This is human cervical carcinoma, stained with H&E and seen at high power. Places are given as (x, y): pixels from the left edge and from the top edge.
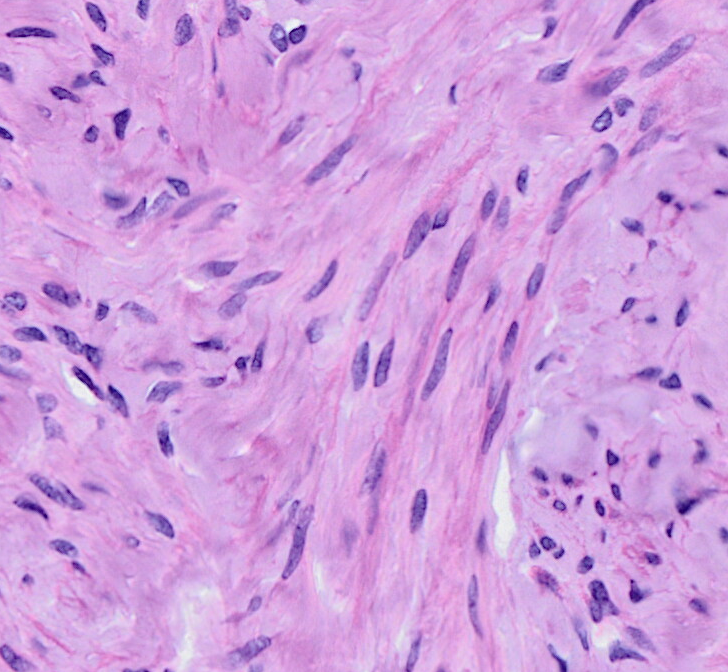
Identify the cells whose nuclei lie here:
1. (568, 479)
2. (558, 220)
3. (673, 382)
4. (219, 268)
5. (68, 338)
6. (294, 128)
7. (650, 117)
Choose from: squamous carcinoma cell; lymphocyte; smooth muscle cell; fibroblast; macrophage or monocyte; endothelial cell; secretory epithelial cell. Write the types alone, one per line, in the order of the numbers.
smooth muscle cell
smooth muscle cell
fibroblast
fibroblast
fibroblast
smooth muscle cell
smooth muscle cell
